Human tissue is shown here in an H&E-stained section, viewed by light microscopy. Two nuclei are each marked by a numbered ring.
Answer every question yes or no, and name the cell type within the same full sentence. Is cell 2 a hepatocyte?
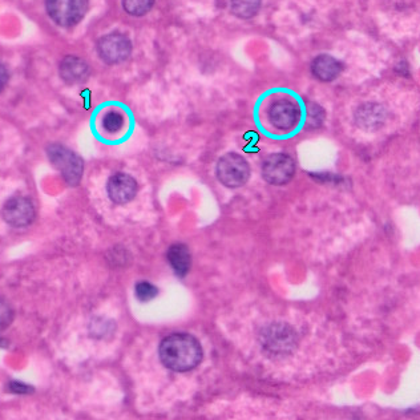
Yes, of the numbered cells, number 2 is a hepatocyte.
